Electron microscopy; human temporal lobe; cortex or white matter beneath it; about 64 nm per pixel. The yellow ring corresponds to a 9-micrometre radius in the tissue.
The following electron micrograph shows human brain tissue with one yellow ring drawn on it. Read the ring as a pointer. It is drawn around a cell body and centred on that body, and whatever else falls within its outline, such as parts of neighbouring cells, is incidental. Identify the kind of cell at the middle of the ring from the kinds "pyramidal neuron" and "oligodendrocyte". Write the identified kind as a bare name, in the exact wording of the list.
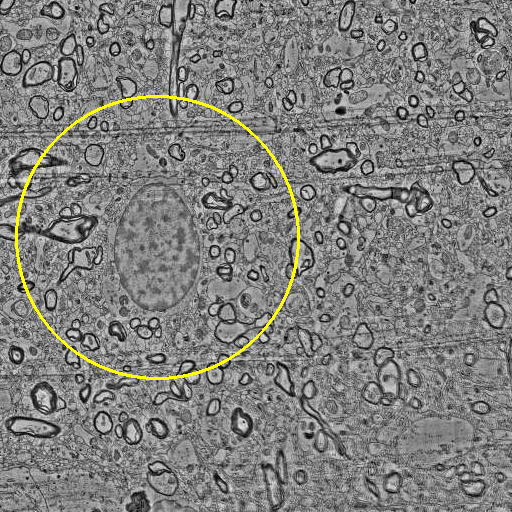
oligodendrocyte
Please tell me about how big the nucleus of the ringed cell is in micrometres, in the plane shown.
In this plane the nucleus measures roughly 8 by 6 micrometres.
